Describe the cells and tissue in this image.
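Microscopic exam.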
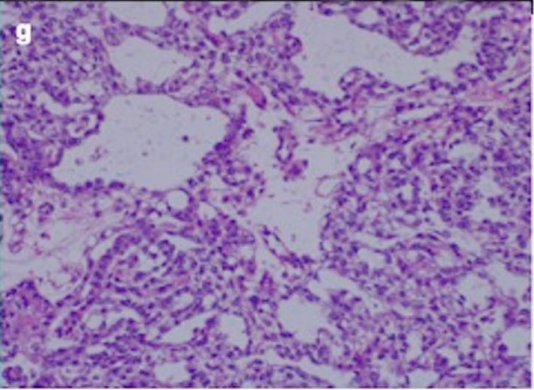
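This is a tumour made of crowded cells with dark purple nuclei arranged in cords, small clusters and thin linings around many clear spaces. The spaces vary from tiny holes to larger irregular cavities, giving the tissue a loose, sieve-like or lace-like look set in pale pink stroma. Some cell groups form small gland-like and tubular profiles.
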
